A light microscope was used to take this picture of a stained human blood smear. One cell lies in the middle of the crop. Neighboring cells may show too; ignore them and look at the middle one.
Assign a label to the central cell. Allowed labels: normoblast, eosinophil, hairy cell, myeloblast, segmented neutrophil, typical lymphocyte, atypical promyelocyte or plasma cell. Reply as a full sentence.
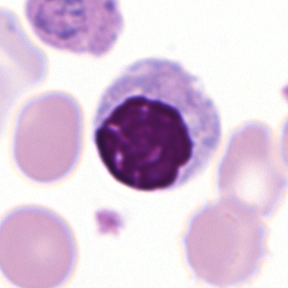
In the centre of this crop there is a normoblast.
